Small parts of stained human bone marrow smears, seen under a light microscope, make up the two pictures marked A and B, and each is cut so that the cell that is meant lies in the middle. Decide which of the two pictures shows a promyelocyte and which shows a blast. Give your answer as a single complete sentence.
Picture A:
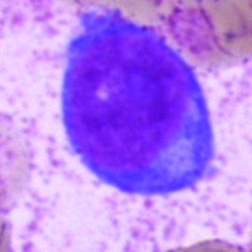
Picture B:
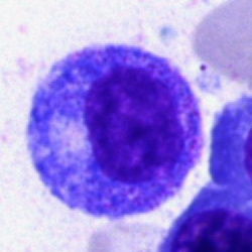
Picture B shows a promyelocyte, while picture A shows a blast.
